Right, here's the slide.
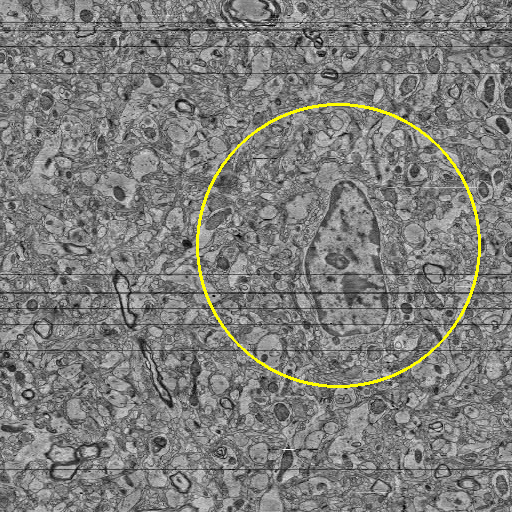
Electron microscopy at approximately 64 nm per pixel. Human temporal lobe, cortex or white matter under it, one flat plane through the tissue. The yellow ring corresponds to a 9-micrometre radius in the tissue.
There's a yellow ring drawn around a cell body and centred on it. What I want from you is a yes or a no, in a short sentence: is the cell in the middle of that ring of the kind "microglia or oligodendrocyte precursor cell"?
Yes, it's of that kind.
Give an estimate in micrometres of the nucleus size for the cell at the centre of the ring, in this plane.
Approximately 10 x 5 micrometres in this plane.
